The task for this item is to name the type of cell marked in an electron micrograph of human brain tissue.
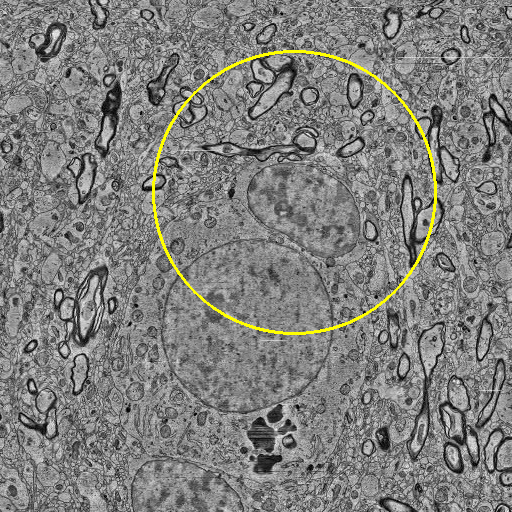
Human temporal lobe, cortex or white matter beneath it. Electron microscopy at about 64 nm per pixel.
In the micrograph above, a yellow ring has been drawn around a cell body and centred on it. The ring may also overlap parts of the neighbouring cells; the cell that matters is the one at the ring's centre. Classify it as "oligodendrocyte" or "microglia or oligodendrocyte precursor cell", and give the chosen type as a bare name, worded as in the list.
oligodendrocyte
